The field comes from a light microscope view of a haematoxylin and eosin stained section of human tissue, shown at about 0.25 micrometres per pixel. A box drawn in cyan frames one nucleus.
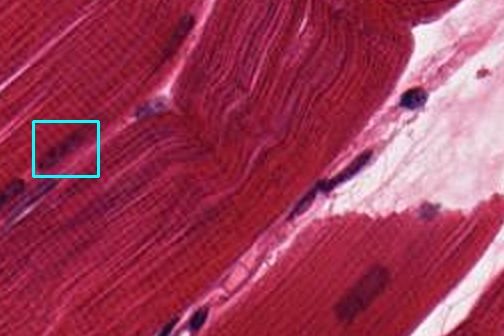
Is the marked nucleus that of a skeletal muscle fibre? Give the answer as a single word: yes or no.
yes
